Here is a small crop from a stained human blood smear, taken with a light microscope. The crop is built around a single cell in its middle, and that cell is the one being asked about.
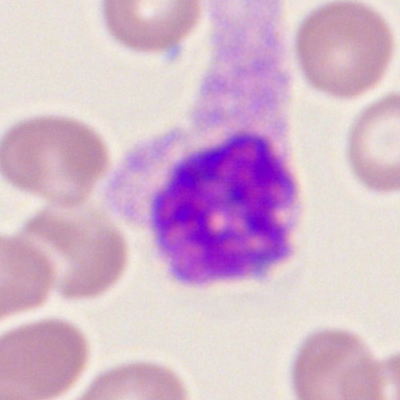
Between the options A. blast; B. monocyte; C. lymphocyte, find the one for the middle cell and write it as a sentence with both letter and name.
What sits in the middle of the crop is a monocyte, and option B is correct.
